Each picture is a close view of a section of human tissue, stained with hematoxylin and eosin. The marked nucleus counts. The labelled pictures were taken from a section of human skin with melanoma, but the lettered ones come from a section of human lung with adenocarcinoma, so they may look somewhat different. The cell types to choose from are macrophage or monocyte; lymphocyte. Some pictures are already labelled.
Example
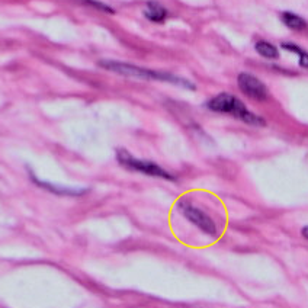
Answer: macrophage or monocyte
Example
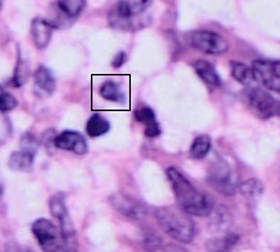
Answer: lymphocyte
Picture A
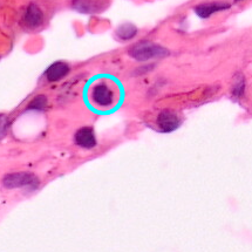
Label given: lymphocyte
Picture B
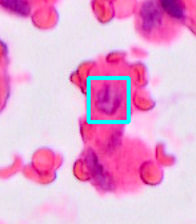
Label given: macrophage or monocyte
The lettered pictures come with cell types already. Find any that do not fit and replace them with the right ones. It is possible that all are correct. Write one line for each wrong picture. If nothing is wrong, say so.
Every label is right.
